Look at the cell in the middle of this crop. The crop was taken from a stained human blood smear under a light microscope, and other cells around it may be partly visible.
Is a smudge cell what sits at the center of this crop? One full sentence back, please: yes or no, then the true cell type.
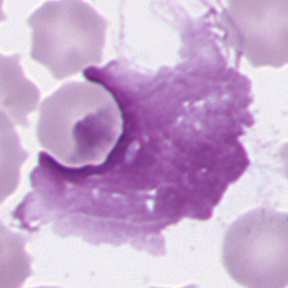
Yes, the cell sitting in the center is a smudge cell.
